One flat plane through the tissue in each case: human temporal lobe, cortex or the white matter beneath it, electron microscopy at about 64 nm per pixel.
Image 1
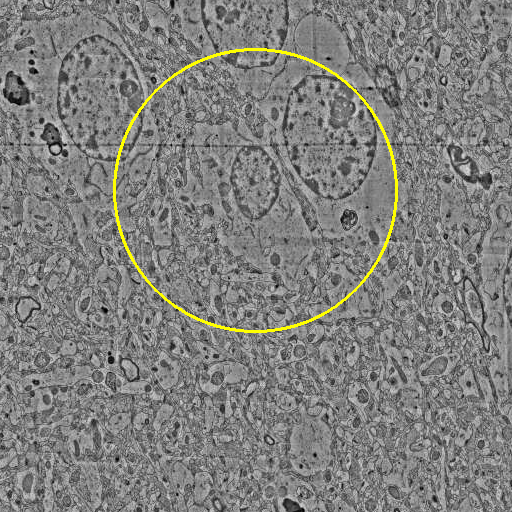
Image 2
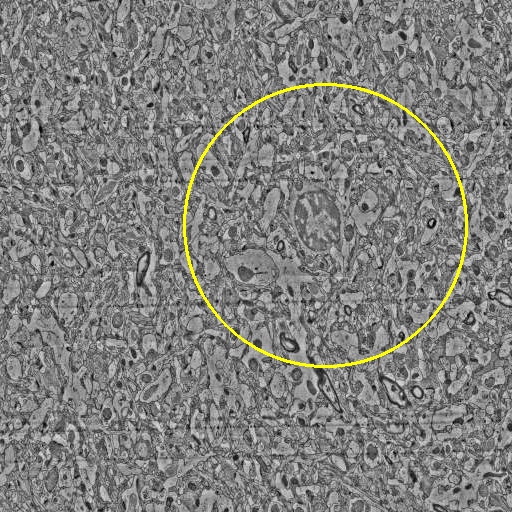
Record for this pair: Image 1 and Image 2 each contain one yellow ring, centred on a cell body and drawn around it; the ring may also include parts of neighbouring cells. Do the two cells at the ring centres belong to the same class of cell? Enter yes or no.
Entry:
no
